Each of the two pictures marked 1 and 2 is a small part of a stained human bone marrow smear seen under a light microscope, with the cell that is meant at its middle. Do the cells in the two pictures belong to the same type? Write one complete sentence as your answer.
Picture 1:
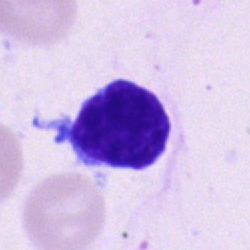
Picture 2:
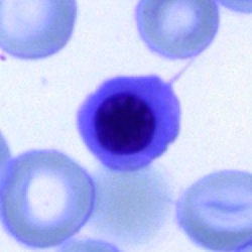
No, they differ: the cell is a lymphocyte in picture 1 and an erythroblast in picture 2.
